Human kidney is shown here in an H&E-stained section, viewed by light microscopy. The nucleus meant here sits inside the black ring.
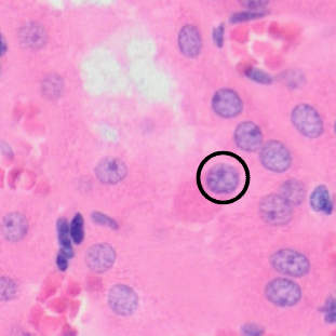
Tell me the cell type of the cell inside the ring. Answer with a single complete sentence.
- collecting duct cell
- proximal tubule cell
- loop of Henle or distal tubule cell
Recorded by type, the cell inside the ring is a proximal tubule cell.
